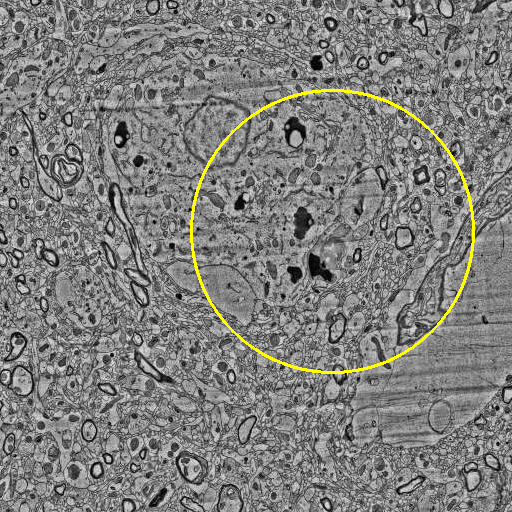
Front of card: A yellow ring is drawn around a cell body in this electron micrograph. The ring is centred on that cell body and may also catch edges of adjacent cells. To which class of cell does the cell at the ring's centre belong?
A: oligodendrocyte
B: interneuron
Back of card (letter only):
A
